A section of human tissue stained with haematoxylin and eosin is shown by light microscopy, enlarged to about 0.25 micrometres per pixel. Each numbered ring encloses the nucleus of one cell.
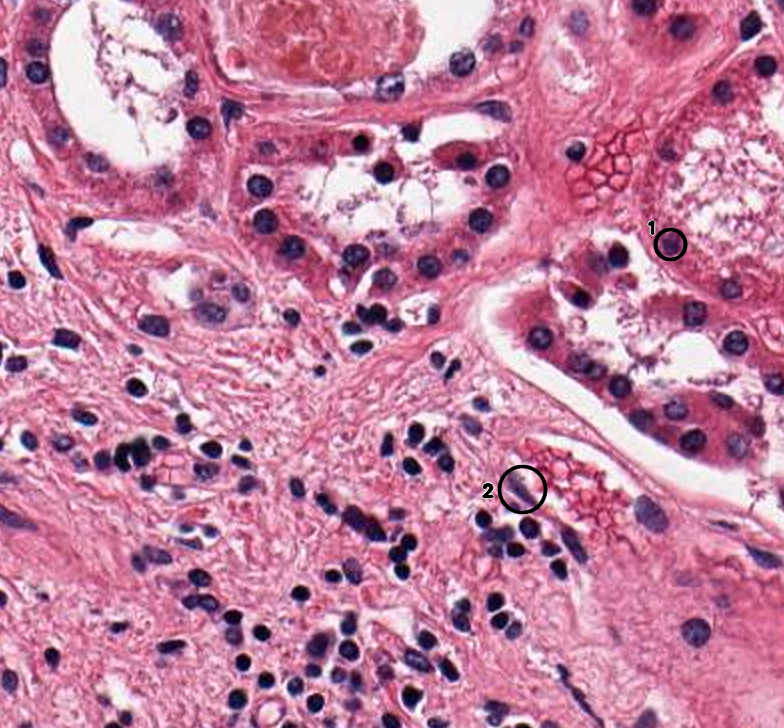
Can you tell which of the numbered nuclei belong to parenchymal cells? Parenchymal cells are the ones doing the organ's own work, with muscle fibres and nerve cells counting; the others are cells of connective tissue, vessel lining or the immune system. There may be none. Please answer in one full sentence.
Belonging to parenchymal cells, among the numbered nuclei, is nucleus 1 alone.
